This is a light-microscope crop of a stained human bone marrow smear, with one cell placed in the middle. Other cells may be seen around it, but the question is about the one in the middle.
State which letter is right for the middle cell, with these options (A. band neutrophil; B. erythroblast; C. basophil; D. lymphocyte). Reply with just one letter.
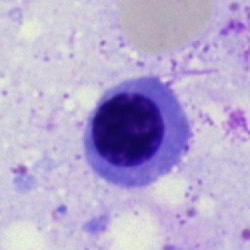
B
